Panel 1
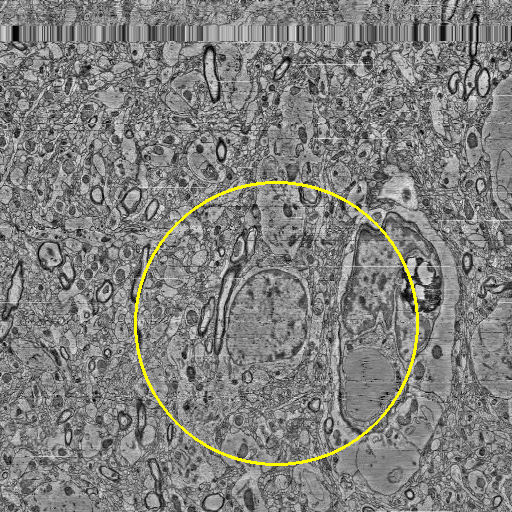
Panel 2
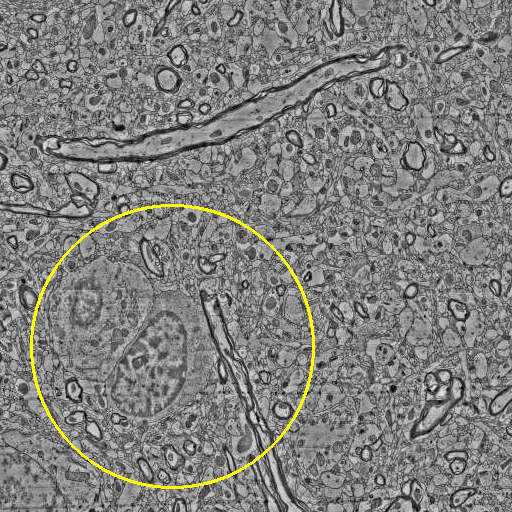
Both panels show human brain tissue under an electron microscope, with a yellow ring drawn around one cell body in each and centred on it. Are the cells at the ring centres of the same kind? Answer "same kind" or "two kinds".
two kinds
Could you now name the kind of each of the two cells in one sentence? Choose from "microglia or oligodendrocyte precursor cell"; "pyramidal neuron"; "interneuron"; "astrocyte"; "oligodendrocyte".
The first ring encloses a microglial cell or oligodendrocyte precursor cell; the second ring encloses an oligodendrocyte.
